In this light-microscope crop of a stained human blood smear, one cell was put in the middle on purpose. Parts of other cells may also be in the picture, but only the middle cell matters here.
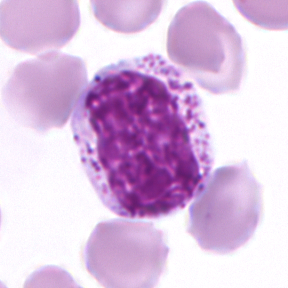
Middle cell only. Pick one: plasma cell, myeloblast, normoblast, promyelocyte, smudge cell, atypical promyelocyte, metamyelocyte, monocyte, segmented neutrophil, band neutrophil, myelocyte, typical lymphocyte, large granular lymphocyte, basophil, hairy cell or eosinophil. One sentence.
In the middle of this smear crop is a metamyelocyte.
